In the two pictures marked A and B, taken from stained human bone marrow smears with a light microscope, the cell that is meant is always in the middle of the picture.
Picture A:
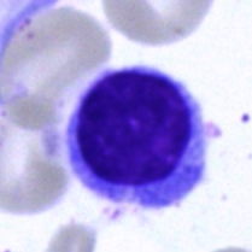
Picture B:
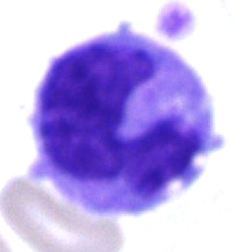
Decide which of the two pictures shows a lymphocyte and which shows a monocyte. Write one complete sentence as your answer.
Picture A is of a lymphocyte, and picture B is of a monocyte.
